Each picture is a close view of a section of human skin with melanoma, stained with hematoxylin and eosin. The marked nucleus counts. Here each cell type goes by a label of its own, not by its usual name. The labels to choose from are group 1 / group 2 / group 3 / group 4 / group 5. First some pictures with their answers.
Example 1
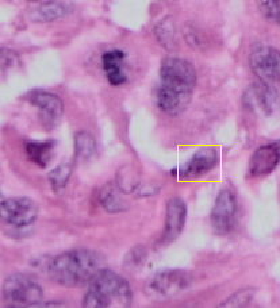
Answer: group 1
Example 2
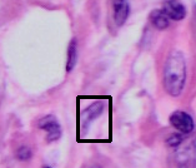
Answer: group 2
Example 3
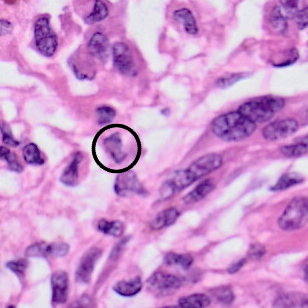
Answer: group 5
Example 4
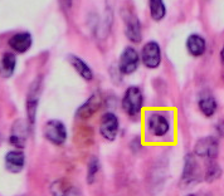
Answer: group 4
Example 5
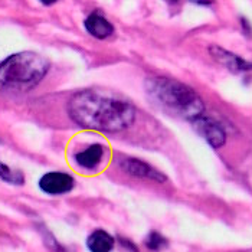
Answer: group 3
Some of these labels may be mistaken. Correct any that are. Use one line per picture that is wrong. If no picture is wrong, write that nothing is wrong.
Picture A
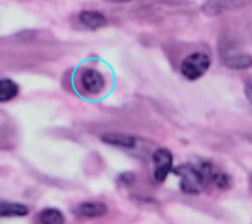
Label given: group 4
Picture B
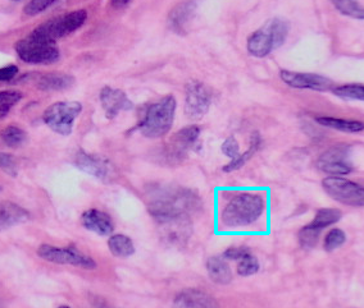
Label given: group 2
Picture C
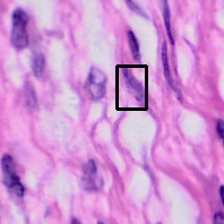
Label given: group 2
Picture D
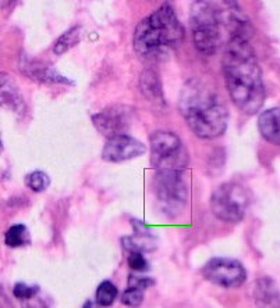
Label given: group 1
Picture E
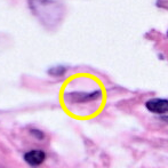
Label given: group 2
No label is wrong.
